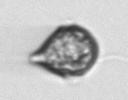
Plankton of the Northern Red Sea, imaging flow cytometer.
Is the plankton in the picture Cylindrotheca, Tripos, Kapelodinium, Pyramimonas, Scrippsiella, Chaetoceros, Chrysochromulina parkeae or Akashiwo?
It is Scrippsiella.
